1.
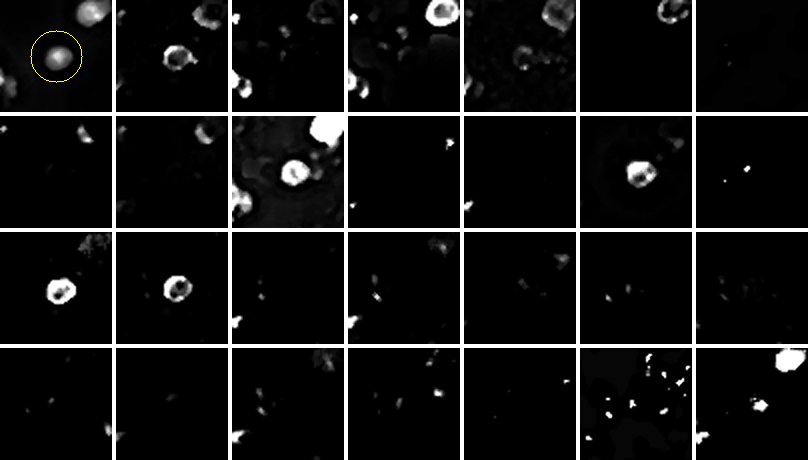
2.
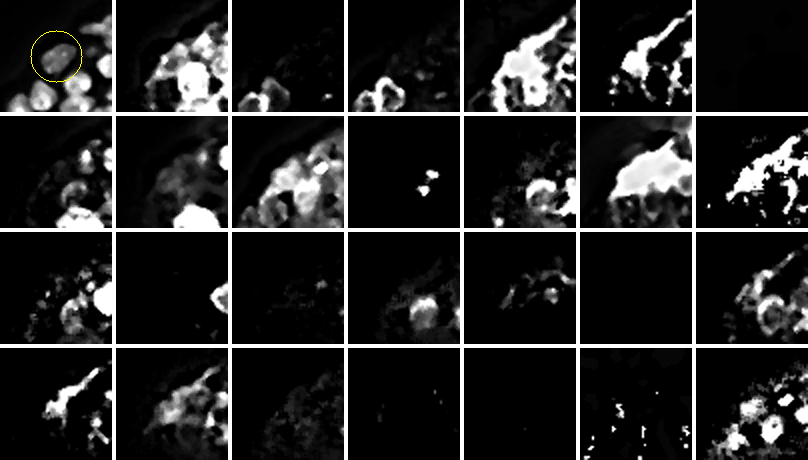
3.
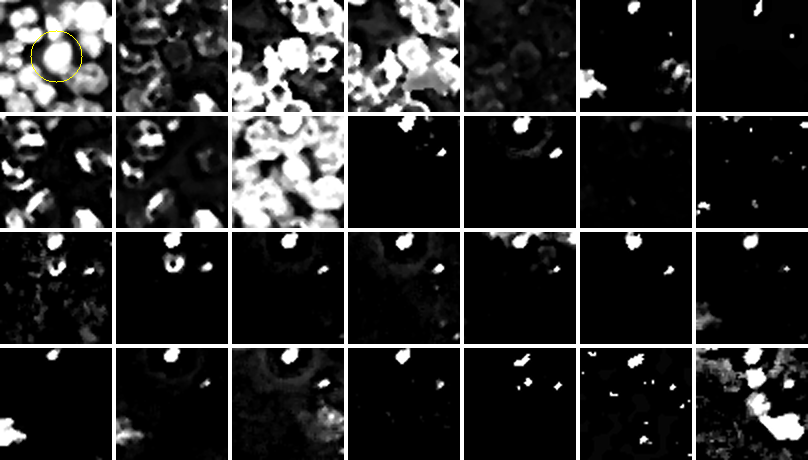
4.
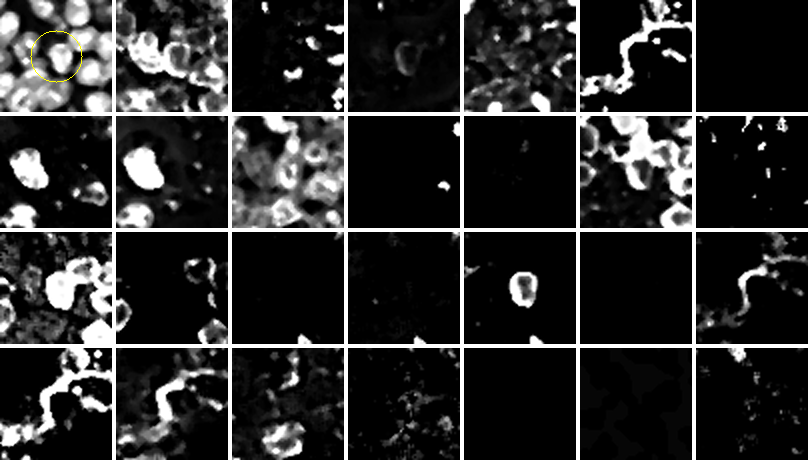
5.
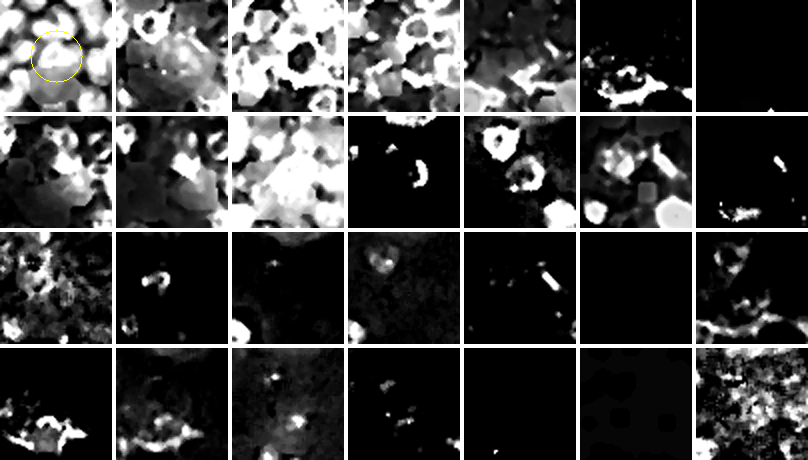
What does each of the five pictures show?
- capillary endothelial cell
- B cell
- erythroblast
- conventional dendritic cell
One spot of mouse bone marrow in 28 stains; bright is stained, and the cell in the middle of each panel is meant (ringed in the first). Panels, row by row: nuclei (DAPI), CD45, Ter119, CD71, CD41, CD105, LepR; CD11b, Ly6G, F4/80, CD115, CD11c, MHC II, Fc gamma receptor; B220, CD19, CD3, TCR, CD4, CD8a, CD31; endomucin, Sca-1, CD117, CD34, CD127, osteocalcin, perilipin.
1: B cell
2: capillary endothelial cell
3: erythroblast
4: capillary endothelial cell
5: conventional dendritic cell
